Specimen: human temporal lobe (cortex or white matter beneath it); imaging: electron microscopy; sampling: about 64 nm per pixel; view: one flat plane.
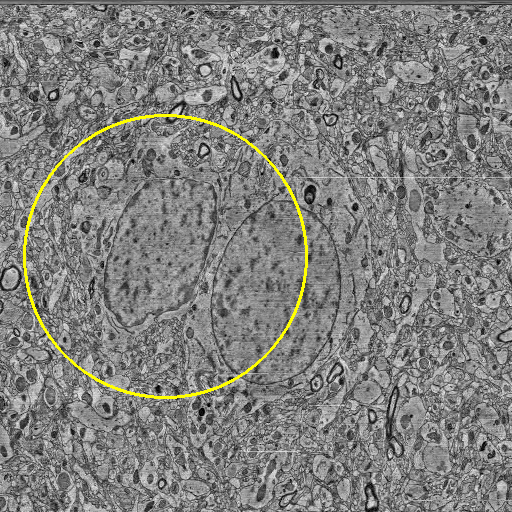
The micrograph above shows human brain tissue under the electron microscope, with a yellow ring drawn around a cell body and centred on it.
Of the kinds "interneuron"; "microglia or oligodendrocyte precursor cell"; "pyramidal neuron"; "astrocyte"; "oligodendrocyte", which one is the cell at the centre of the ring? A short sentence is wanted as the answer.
The one at the centre of the ring is a microglial cell or oligodendrocyte precursor cell.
